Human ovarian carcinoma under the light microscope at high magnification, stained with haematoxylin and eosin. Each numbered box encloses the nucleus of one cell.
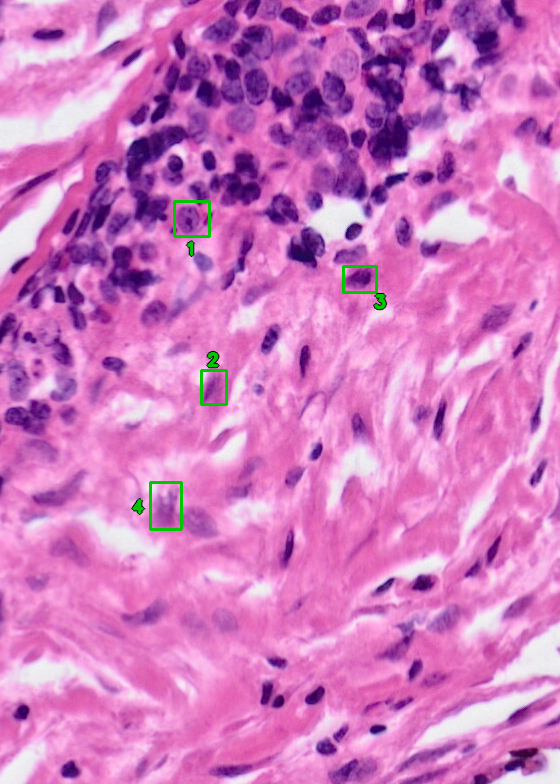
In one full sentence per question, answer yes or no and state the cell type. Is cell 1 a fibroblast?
No, number 1 corresponds to a macrophage or monocyte, not a fibroblast.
